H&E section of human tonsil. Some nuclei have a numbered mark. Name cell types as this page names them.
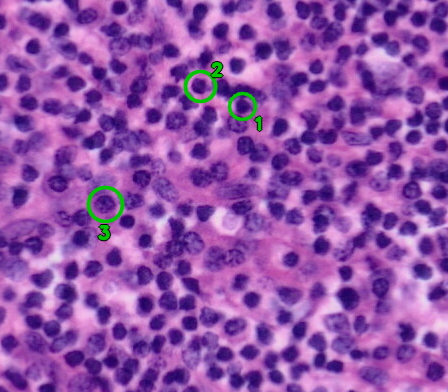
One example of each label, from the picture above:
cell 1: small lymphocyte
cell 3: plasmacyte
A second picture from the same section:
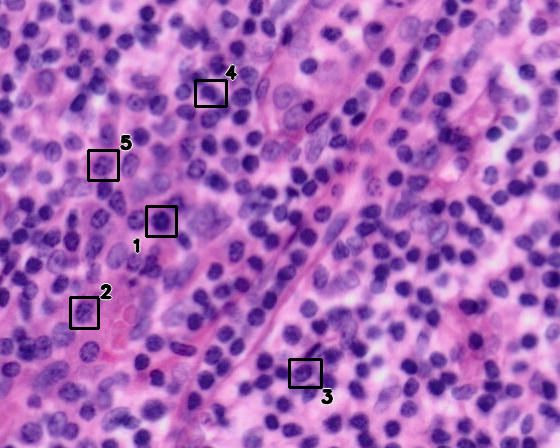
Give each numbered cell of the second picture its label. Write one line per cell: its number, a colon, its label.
1: plasmacyte
2: plasmacyte
3: small lymphocyte
4: small lymphocyte
5: plasmacyte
